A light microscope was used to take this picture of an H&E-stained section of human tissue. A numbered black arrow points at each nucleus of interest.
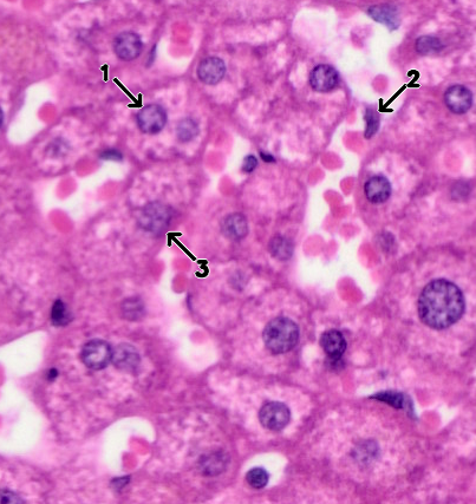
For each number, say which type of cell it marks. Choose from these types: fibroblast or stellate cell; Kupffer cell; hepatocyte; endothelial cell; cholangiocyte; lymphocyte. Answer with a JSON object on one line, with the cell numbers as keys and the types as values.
{"1": "hepatocyte", "2": "Kupffer cell", "3": "hepatocyte"}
